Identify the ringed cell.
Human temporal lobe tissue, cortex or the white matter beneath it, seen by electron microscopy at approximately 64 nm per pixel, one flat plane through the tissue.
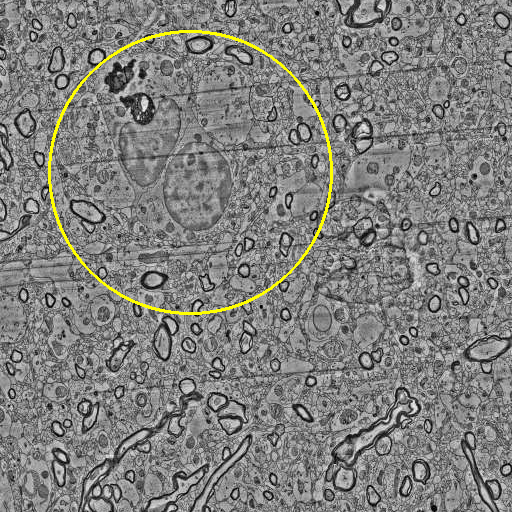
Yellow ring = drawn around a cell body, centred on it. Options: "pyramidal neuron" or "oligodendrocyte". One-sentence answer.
What the ring is centred on is an oligodendrocyte.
